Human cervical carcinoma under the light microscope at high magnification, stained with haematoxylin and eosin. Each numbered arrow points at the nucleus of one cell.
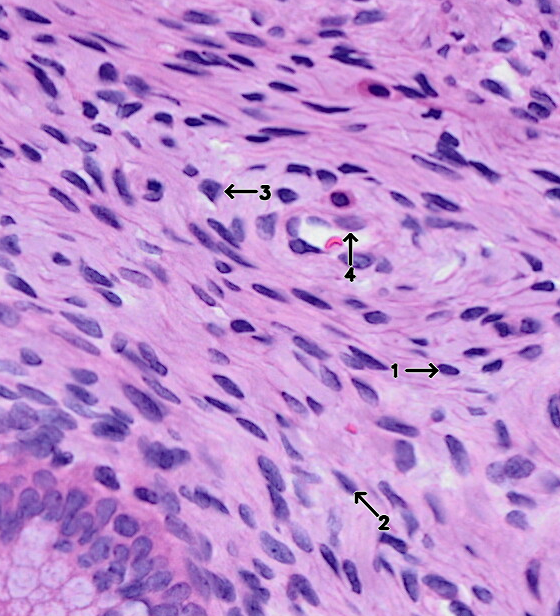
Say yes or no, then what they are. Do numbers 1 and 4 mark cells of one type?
No, what is marked as cell 1 is a fibroblast, and what is marked as cell 4 is an endothelial cell.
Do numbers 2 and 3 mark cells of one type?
Yes, both of cells 2 and 3 are fibroblasts.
